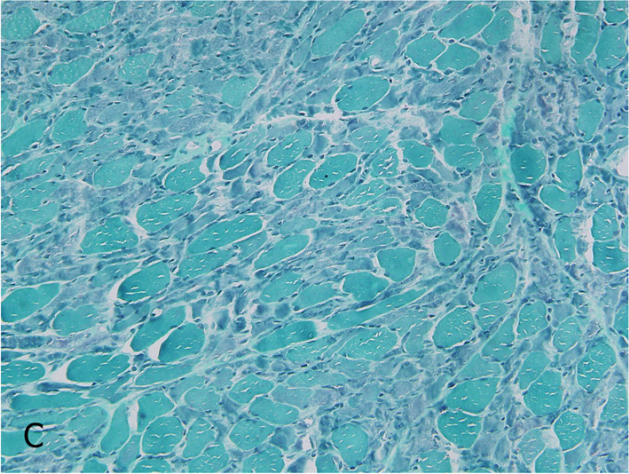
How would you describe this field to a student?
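This is a cross-section of skeletal muscle in which the fibers stain green and the tissue between them stains bluish green. The fibers are disordered, with larger rounded fibers interspersed among many small, irregular fibers and a cellular interstitium. No fibers show red, ragged deposits beneath their surface.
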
